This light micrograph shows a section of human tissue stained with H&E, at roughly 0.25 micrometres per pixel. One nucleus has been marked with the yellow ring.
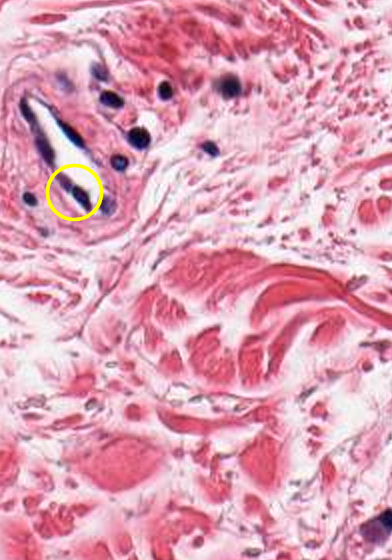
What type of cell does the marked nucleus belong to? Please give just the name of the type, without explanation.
endothelial cell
